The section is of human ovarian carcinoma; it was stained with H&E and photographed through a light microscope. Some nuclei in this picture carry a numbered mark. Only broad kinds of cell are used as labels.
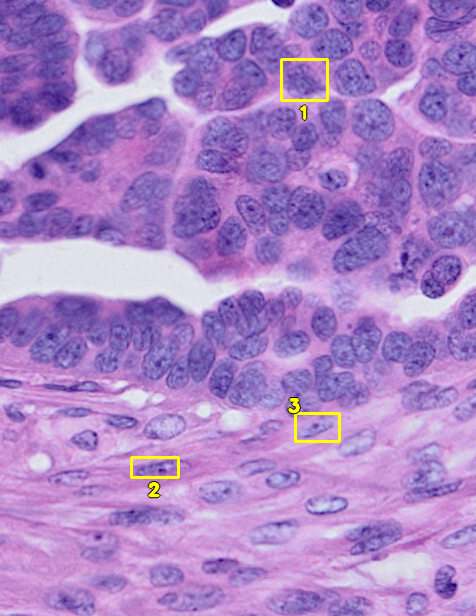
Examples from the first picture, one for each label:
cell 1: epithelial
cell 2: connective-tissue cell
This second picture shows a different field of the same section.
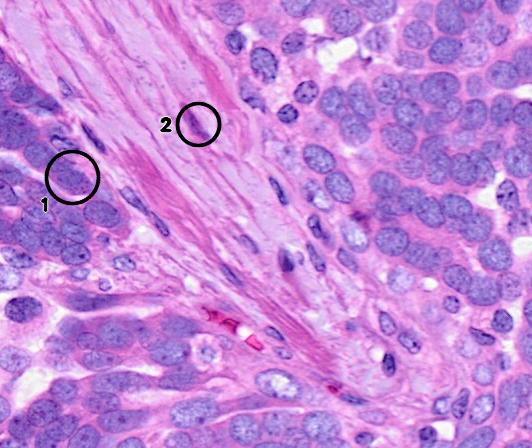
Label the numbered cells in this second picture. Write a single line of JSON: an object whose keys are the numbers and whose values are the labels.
{"1": "epithelial", "2": "connective-tissue cell"}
